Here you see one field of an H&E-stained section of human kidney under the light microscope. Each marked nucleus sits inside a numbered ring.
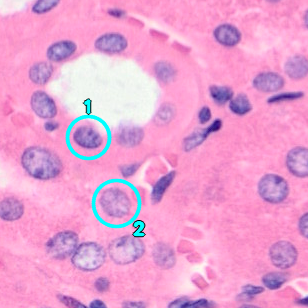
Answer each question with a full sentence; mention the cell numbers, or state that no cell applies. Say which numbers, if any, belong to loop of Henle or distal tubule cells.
Exactly one of the numbered cells is a loop of Henle or distal tubule cell, namely cell 1.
